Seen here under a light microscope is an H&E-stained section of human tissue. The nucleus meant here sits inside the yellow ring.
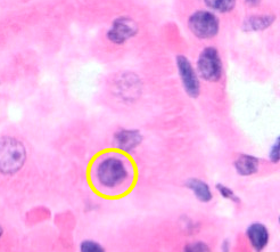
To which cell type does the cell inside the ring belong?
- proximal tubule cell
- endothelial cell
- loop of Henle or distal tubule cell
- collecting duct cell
proximal tubule cell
